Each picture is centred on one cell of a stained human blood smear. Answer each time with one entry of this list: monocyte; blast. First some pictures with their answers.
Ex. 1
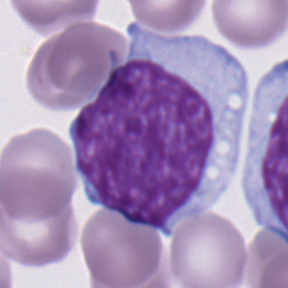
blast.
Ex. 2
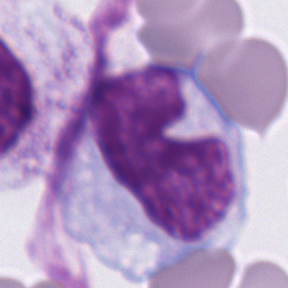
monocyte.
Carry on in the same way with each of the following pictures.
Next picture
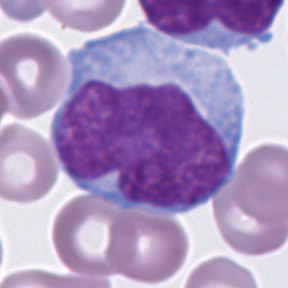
blast.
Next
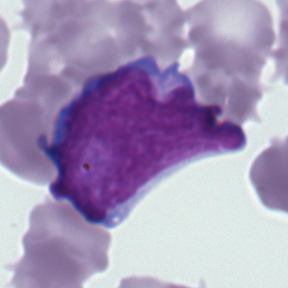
blast.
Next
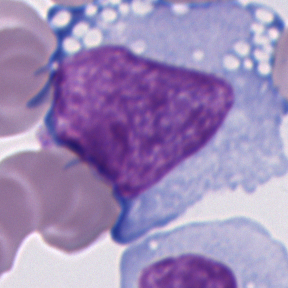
blast.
